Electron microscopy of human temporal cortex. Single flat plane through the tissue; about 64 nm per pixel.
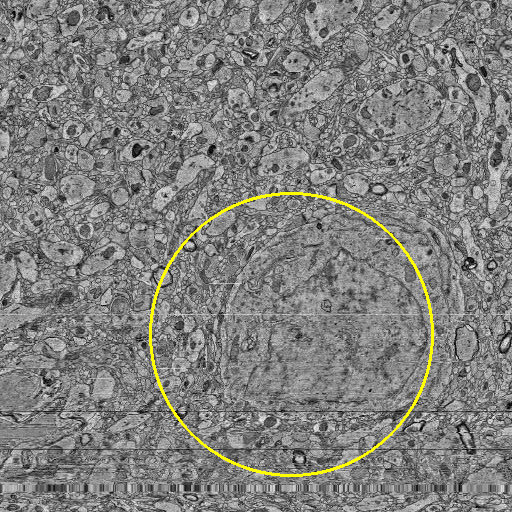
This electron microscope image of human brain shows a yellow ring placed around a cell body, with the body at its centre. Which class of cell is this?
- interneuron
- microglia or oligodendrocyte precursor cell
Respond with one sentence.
The cell body at the ring's centre is an interneuron.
